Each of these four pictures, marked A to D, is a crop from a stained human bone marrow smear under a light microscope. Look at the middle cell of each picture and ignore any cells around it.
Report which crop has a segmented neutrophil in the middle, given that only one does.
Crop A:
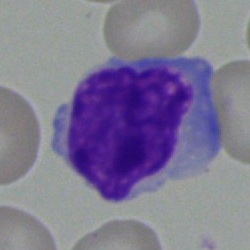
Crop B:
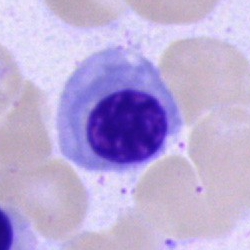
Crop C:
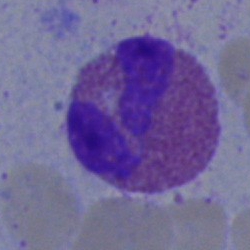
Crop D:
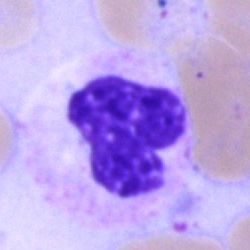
D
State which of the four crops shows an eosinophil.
C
